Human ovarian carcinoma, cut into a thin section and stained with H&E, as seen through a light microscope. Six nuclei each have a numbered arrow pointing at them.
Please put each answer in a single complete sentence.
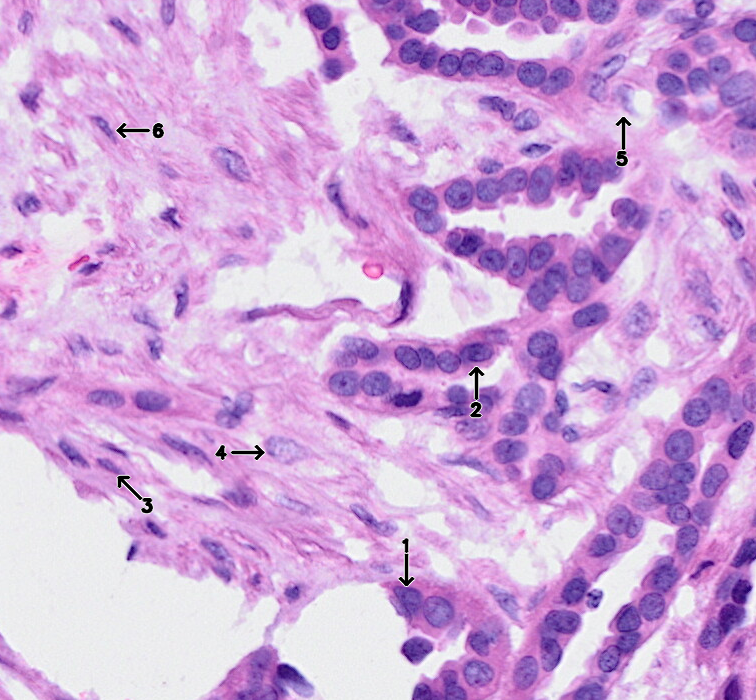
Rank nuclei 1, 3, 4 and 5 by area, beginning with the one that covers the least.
From smallest to largest, the order is 3, 5, 1, 4.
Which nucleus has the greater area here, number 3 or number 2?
Number 2 is larger; its area is about 2.5 times that of number 3.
